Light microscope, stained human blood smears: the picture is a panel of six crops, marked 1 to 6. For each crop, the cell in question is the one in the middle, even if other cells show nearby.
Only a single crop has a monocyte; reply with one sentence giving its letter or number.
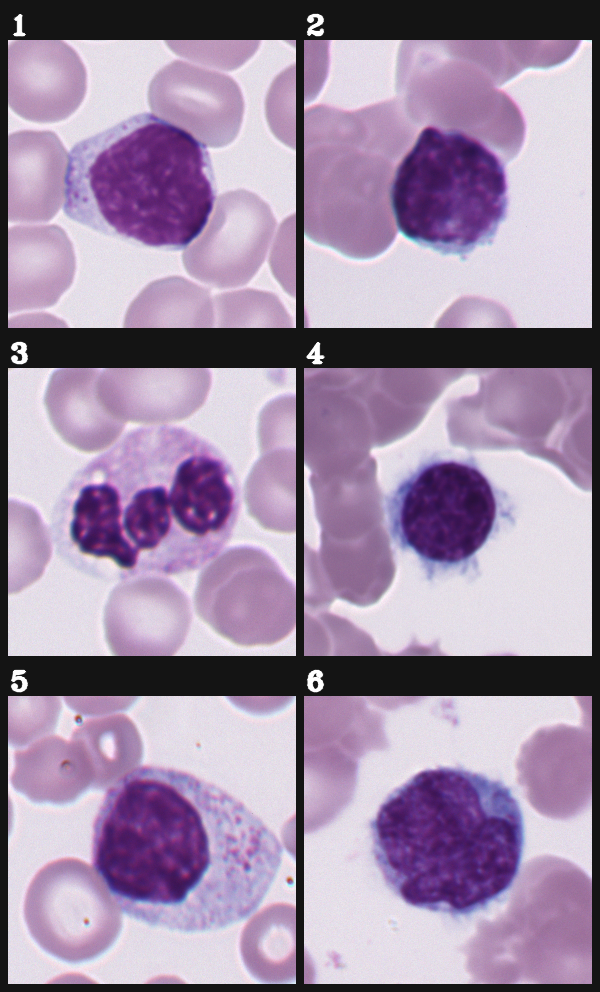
In the set of crops, crop 6 is the one that contains a monocyte.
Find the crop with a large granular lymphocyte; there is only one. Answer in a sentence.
Crop 1 is where a large granular lymphocyte is shown.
